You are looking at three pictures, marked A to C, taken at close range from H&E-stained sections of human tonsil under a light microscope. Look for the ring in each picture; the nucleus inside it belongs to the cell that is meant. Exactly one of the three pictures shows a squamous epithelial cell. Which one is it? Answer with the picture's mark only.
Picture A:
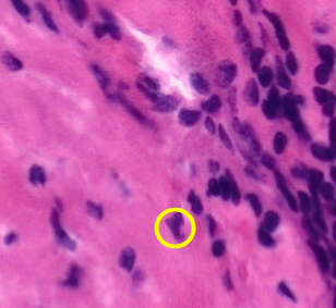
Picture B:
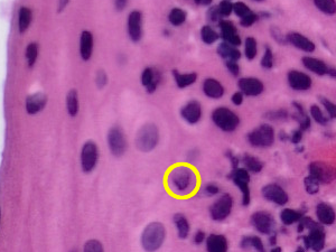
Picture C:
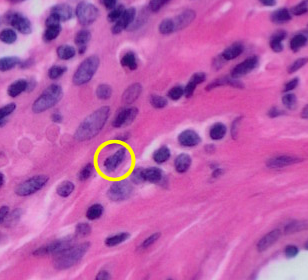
B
